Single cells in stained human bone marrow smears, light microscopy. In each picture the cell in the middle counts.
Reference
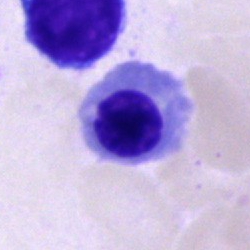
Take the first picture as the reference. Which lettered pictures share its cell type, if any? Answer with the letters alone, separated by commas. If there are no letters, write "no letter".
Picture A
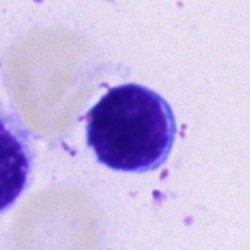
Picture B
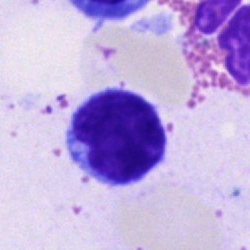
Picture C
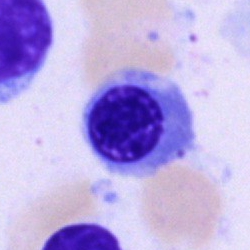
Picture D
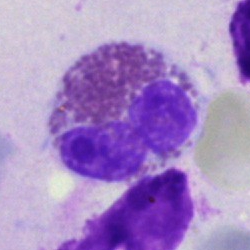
C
